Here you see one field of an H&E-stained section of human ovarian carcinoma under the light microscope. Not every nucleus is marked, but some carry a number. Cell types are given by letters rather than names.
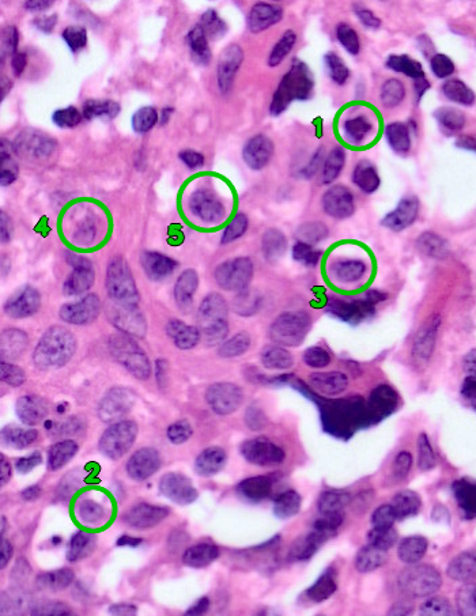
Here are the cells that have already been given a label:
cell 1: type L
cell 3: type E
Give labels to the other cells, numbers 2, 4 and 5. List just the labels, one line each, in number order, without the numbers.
type L
type L
type E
